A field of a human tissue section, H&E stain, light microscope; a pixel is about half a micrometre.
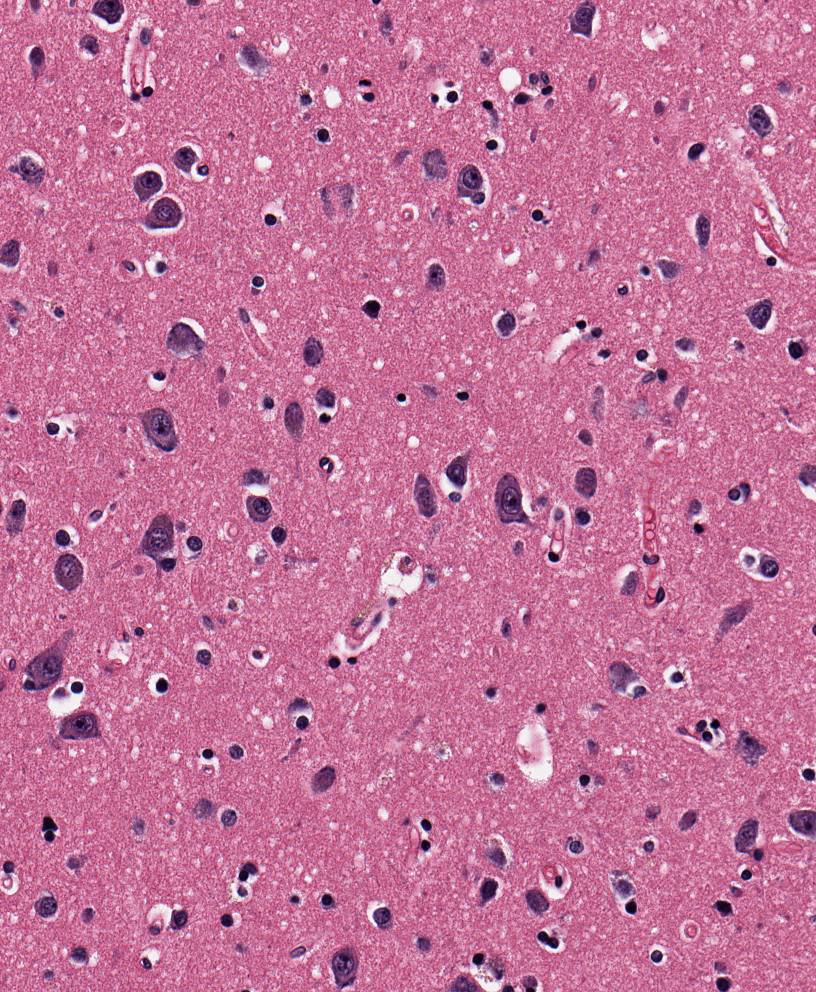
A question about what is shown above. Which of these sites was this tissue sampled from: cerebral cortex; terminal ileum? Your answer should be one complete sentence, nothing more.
A sample from the cerebral cortex makes up this section.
